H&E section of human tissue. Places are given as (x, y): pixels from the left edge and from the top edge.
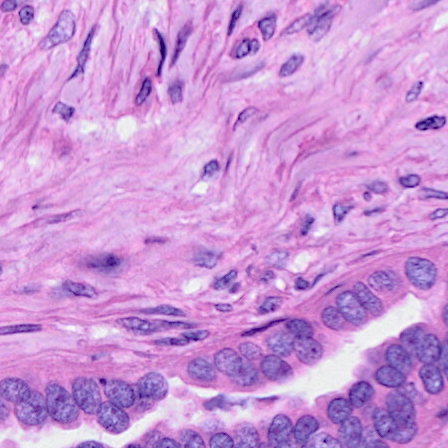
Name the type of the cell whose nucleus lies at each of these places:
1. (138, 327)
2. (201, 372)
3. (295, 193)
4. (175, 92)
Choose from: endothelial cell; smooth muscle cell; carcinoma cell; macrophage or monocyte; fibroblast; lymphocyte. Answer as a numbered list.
1. fibroblast
2. carcinoma cell
3. fibroblast
4. fibroblast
